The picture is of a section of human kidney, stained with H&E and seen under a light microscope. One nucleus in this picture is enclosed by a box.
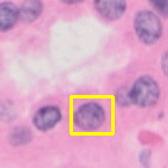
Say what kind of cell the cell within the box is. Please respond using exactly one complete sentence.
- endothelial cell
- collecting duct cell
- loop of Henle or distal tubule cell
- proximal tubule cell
Microscopically, the cell within the box is categorized as a loop of Henle or distal tubule cell.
